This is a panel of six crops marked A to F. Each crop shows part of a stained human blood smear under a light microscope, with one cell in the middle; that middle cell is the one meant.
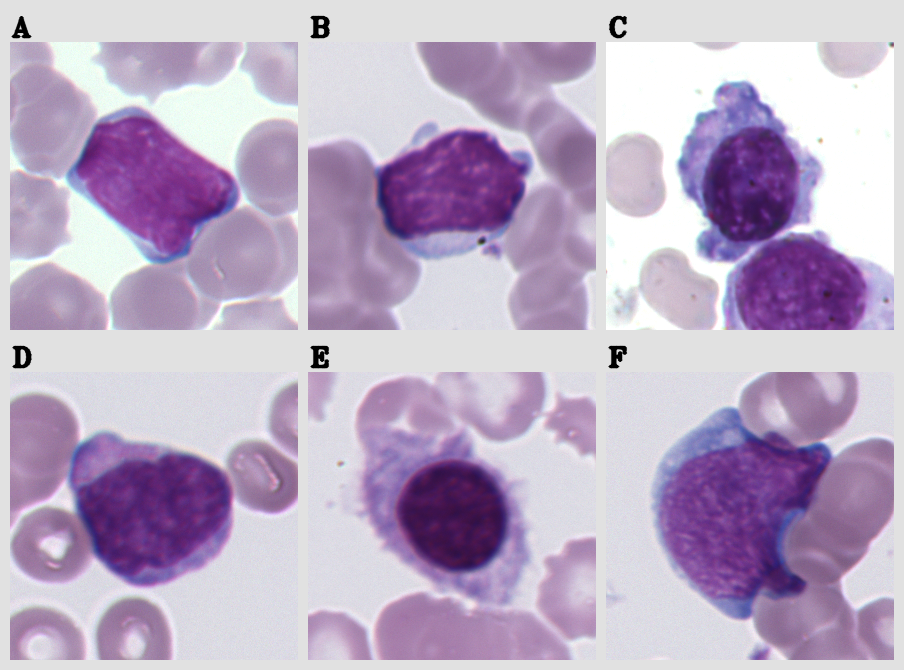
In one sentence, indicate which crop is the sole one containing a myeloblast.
Of the labeled crops, the one with a myeloblast is crop F.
